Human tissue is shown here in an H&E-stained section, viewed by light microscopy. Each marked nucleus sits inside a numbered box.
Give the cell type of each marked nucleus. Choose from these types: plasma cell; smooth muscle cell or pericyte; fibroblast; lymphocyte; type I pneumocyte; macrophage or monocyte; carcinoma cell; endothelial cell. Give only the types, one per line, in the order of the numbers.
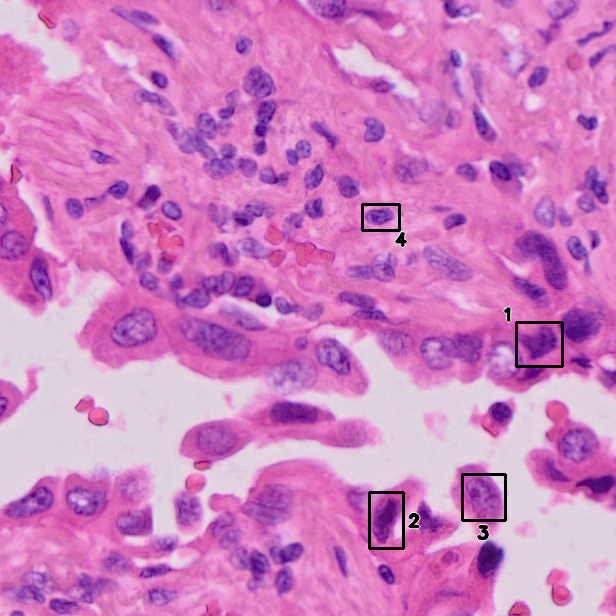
carcinoma cell
carcinoma cell
carcinoma cell
lymphocyte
